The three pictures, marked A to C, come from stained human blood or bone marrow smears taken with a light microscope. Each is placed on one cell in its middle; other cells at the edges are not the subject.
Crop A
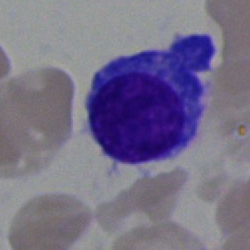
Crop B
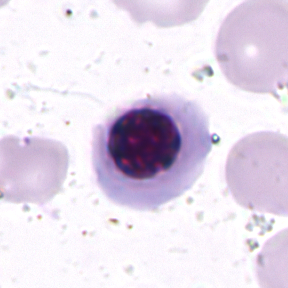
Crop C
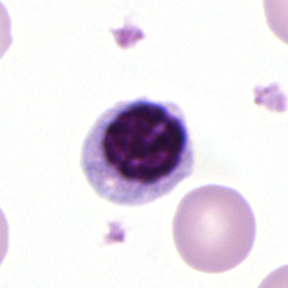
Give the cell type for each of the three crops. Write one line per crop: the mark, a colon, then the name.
A: plasma cell
B: erythroblast
C: erythroblast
